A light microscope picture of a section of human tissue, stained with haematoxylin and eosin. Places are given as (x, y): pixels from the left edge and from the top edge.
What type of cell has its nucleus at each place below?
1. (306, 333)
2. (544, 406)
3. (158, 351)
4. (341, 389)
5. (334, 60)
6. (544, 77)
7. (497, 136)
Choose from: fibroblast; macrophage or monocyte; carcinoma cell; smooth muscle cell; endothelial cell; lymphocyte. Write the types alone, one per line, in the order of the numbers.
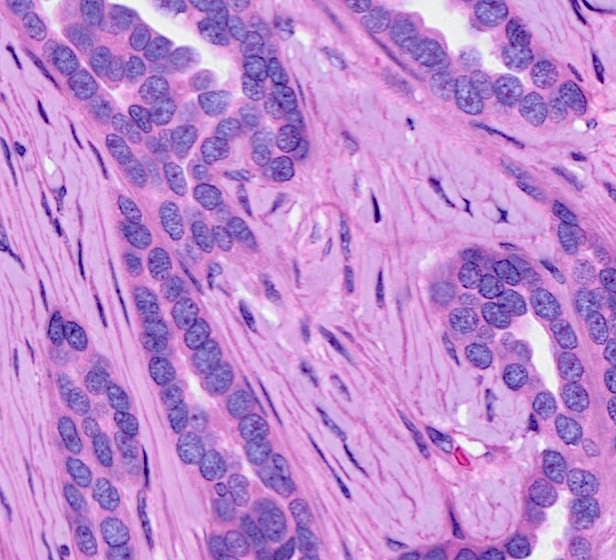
fibroblast
carcinoma cell
carcinoma cell
fibroblast
fibroblast
carcinoma cell
fibroblast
